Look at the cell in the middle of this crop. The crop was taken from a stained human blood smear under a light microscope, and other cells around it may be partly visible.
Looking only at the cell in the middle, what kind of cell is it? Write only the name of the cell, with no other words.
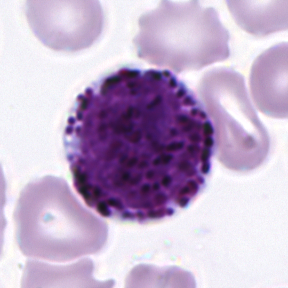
basophil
